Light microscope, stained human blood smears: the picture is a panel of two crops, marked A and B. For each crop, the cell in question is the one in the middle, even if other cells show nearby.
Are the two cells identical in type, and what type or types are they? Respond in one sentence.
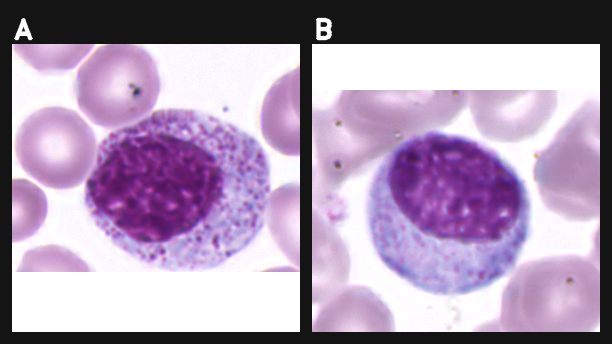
Yes, the cells centred in the two crops are both myelocytes.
